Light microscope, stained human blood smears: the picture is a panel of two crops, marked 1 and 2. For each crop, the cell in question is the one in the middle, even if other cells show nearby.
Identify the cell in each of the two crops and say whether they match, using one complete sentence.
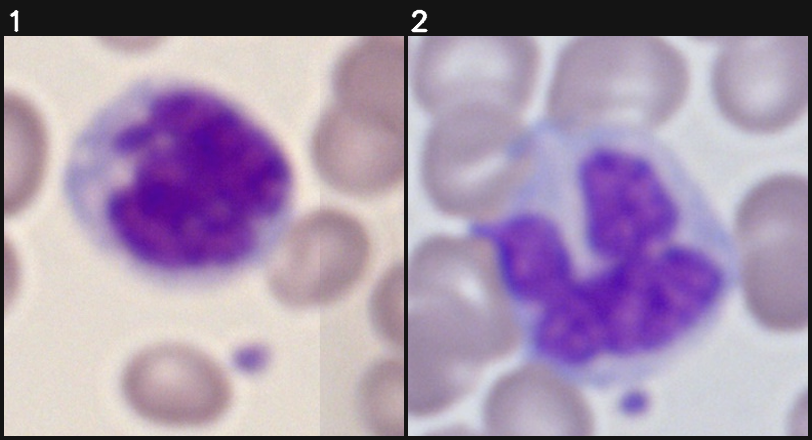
Yes, it is monocytes that both crops show.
